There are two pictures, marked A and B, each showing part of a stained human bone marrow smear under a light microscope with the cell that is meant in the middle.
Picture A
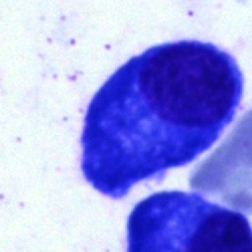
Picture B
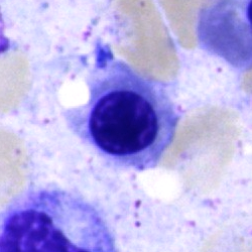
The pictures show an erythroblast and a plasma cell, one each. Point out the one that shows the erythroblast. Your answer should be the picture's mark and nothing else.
B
